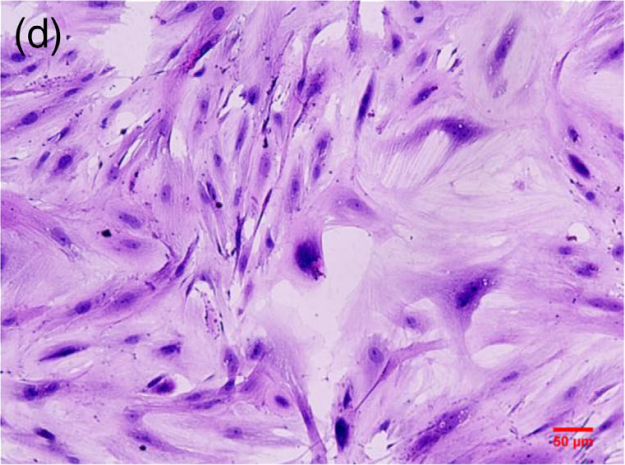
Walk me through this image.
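Many cells are drawn out into long spindle shapes with streaming, fibrillar pale violet cytoplasm that runs in bundles across the field. The nuclei are purple, elongated to oval, and vary more in size, with a few large, darkly stained nuclei. Pale unstained gaps open between groups of cells, so the layer looks less uniform. The cells often overlap and lie in roughly parallel streams.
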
